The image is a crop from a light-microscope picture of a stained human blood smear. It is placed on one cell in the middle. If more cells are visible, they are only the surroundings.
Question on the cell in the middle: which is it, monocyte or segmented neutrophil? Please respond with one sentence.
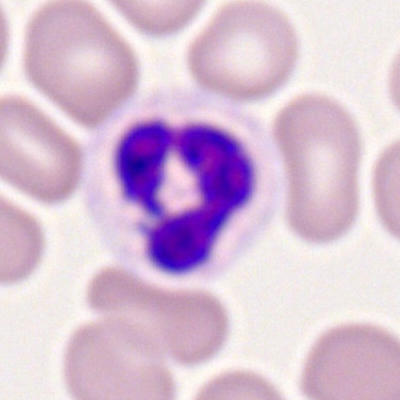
The cell at the central position in this crop is a segmented neutrophil.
